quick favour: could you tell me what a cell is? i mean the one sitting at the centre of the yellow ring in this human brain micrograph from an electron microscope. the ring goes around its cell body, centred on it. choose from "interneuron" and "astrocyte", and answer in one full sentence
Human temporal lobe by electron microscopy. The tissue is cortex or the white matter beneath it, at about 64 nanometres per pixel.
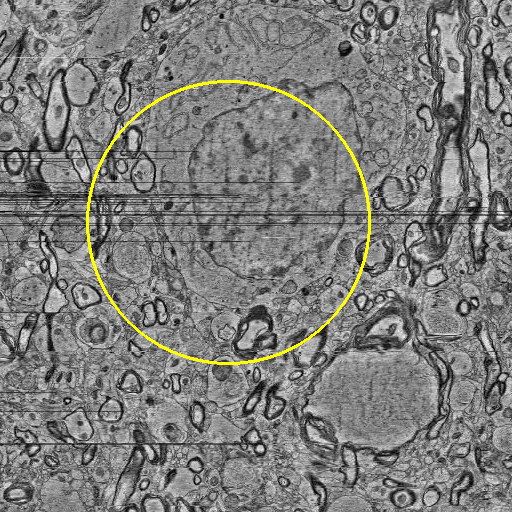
That's an interneuron, the cell sitting at the centre of the yellow ring.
